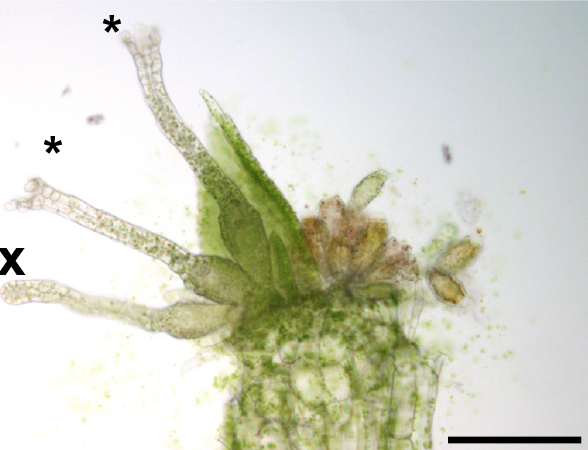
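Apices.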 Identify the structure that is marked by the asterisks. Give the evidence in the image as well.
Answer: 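Mature archegonia. Long flask-shaped structures with a slender neck project from the apex. The tips of the necks marked by asterisks are opened and flared.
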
